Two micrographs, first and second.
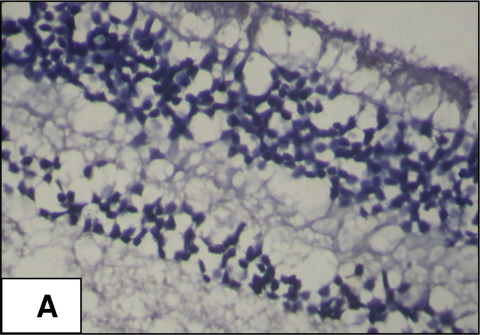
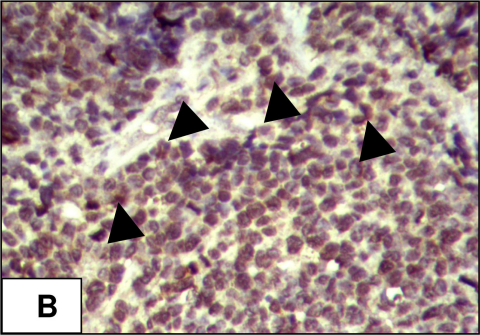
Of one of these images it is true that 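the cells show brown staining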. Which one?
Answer: The second image.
